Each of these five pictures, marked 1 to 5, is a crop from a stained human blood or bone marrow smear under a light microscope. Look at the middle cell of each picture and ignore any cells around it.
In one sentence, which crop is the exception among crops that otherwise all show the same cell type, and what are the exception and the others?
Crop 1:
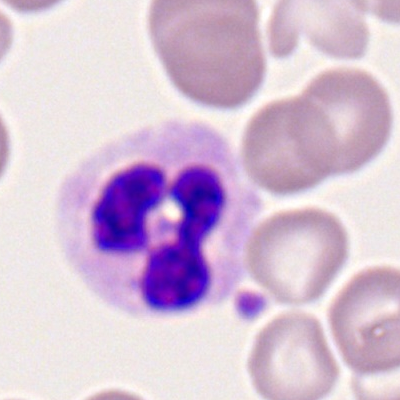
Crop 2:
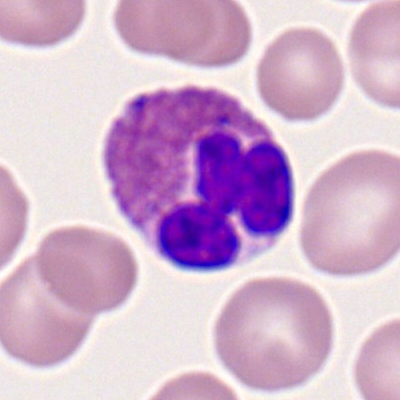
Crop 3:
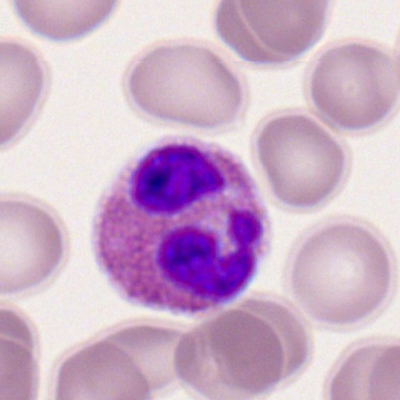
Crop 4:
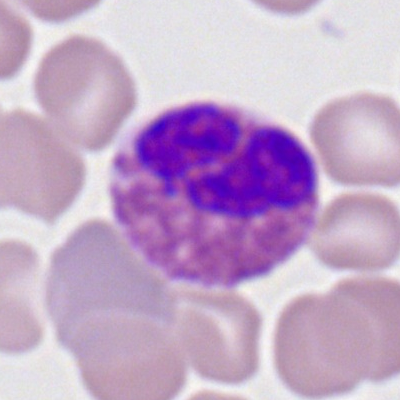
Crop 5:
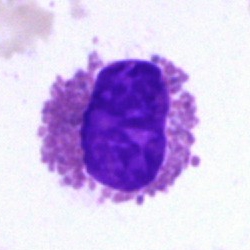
Crop 1 is the exception here: it is a segmented neutrophil, and the others are eosinophils.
